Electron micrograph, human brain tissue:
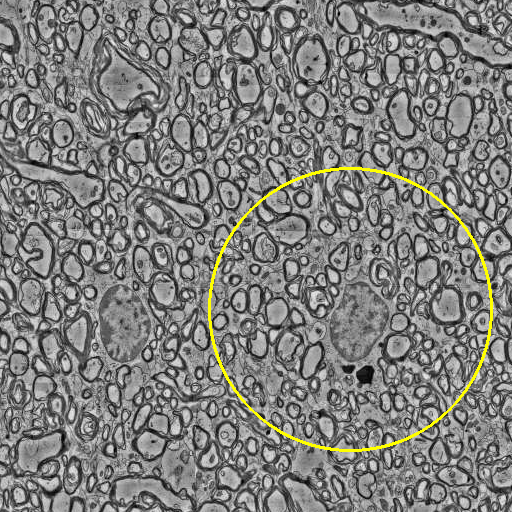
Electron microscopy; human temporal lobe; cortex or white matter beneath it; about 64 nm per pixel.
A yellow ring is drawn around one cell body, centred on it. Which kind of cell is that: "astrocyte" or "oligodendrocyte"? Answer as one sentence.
It is an oligodendrocyte at the centre of the ring.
